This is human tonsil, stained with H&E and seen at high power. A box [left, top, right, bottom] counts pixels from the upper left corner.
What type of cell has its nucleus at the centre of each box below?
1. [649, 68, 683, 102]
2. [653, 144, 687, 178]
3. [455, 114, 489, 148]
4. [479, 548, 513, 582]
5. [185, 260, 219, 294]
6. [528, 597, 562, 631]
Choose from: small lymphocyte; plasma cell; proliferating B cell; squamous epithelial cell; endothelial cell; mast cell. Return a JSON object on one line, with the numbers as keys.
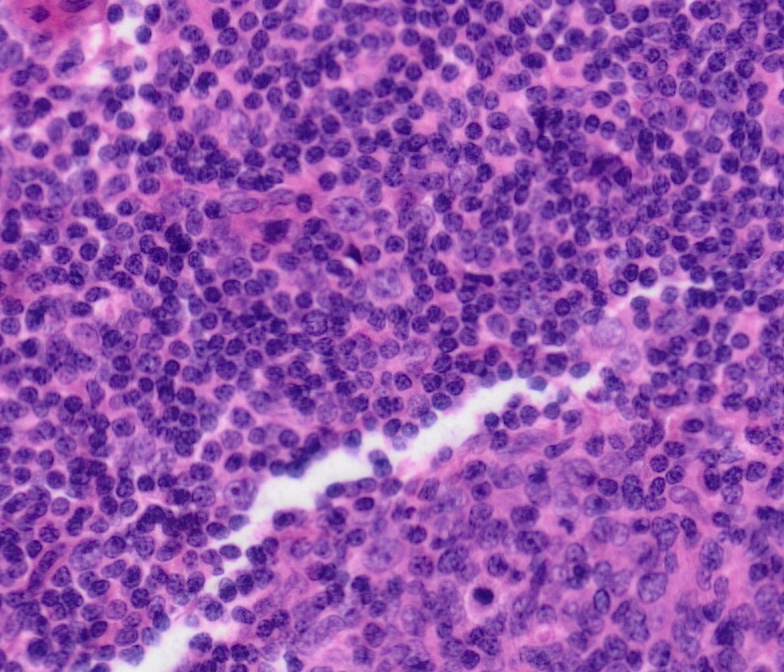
{"1": "small lymphocyte", "2": "small lymphocyte", "3": "small lymphocyte", "4": "proliferating B cell", "5": "small lymphocyte", "6": "proliferating B cell"}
